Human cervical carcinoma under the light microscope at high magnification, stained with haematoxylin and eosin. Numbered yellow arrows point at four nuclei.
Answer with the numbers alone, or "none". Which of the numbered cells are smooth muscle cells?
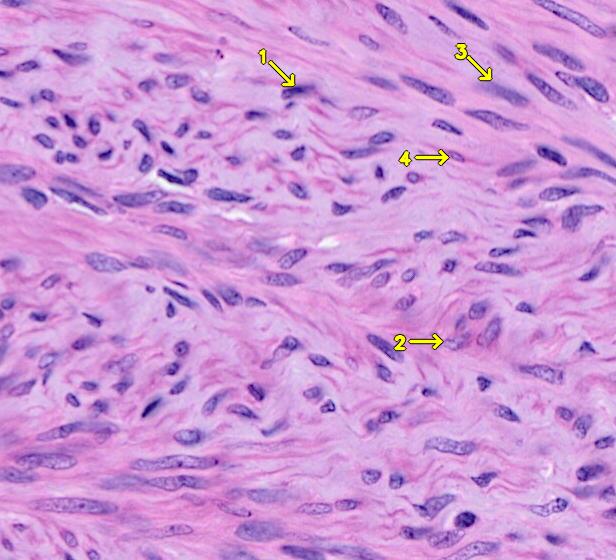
1, 2, 4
